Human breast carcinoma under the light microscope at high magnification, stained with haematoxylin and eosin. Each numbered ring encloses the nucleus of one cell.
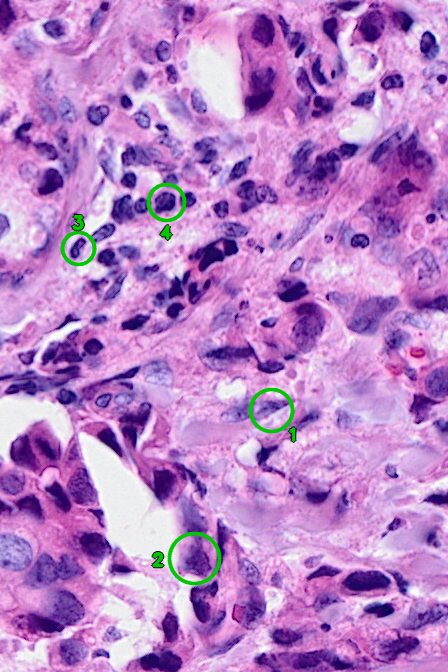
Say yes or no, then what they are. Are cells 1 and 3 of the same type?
No, in contrast to cell 1, which is a fibroblast, cell 3 is a lymphocyte.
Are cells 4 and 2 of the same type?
No, cell 2 is a carcinoma cell, but cell 4 is a lymphocyte.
